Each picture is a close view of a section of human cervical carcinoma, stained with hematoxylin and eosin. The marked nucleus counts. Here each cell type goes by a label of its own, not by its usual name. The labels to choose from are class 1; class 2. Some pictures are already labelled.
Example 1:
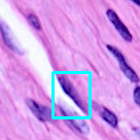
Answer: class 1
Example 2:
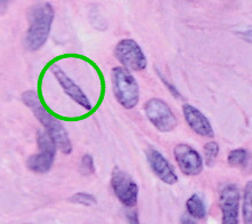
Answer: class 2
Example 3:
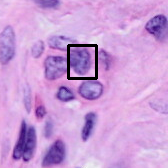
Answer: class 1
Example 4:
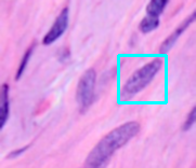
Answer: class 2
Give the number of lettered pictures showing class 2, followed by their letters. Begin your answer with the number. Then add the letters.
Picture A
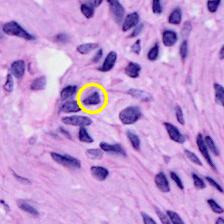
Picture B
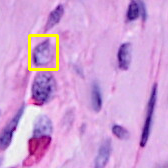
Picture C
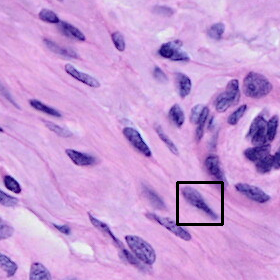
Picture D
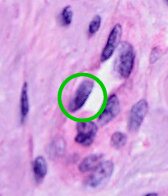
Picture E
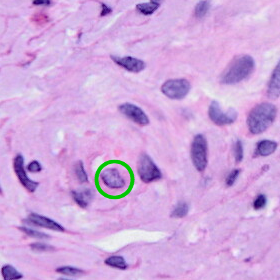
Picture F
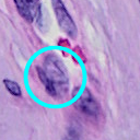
2: A, C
